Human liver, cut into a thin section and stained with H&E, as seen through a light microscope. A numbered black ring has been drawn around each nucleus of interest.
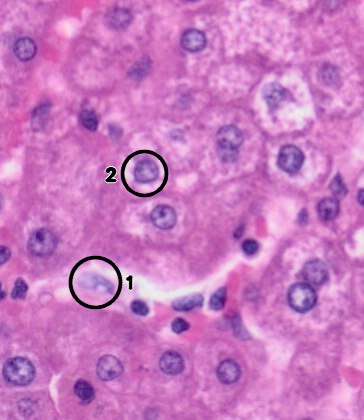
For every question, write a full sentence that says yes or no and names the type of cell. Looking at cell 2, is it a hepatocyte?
Yes, the cell that is numbered 2 is a hepatocyte.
